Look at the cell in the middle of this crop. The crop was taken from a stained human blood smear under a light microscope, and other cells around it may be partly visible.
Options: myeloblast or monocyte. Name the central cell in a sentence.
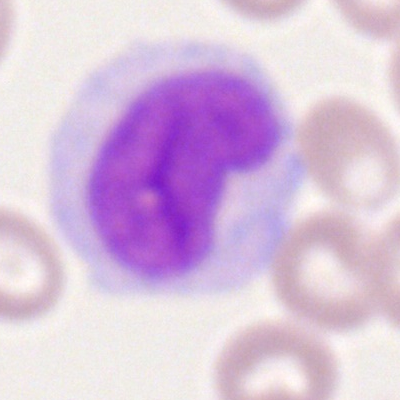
The centrally placed cell is classified as a monocyte.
